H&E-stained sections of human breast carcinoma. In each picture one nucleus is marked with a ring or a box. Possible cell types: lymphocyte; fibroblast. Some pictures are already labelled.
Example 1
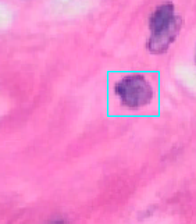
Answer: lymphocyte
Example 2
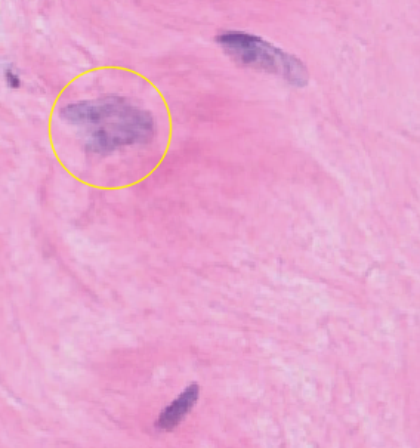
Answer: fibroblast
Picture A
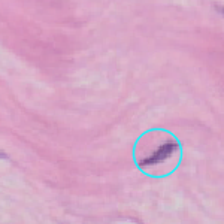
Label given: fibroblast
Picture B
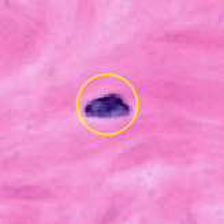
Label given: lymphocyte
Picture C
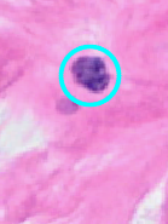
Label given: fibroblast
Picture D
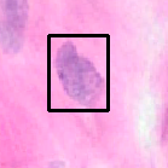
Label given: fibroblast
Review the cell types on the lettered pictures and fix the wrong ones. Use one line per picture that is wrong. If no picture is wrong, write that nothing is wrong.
C: not fibroblast but lymphocyte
